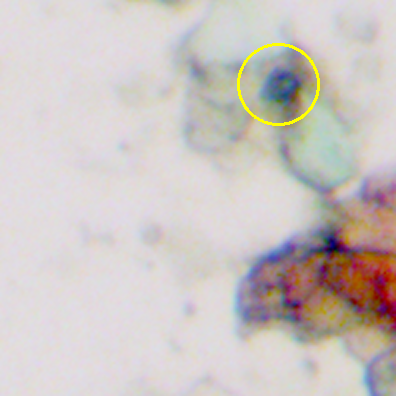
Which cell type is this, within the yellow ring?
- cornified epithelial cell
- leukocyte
Within the ring is a leukocyte.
